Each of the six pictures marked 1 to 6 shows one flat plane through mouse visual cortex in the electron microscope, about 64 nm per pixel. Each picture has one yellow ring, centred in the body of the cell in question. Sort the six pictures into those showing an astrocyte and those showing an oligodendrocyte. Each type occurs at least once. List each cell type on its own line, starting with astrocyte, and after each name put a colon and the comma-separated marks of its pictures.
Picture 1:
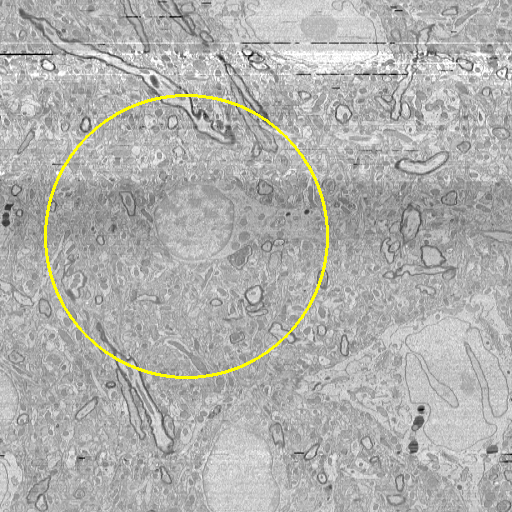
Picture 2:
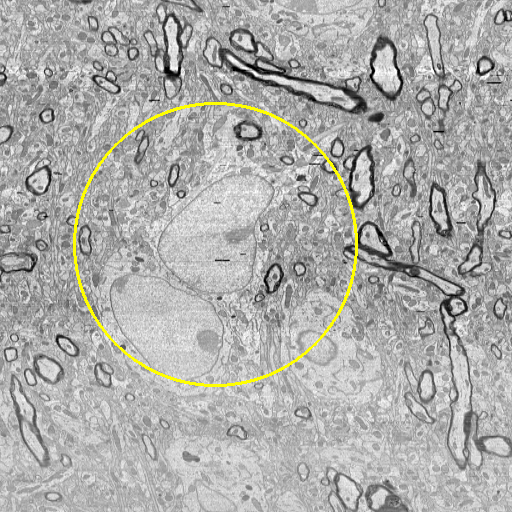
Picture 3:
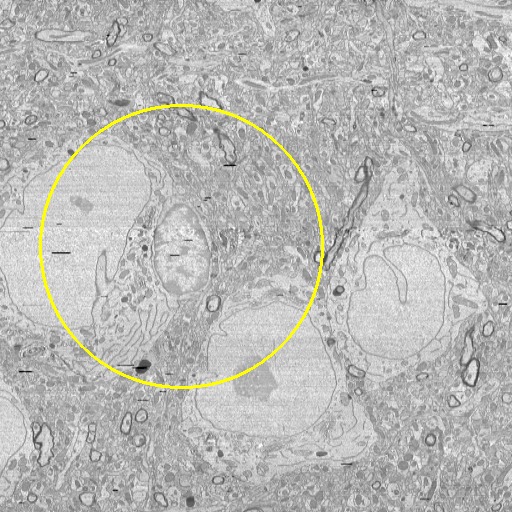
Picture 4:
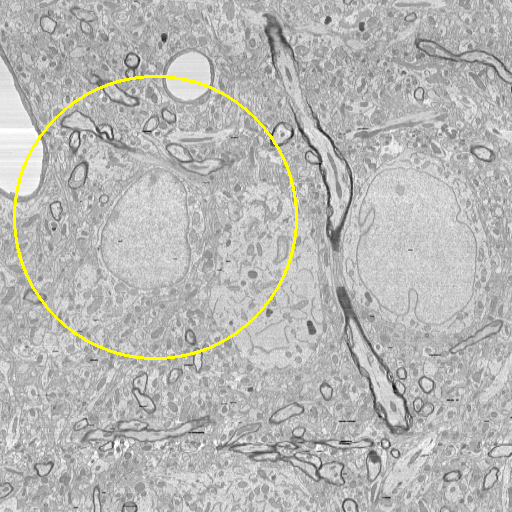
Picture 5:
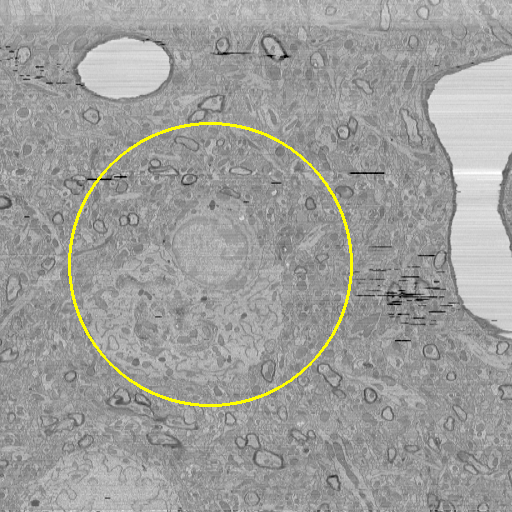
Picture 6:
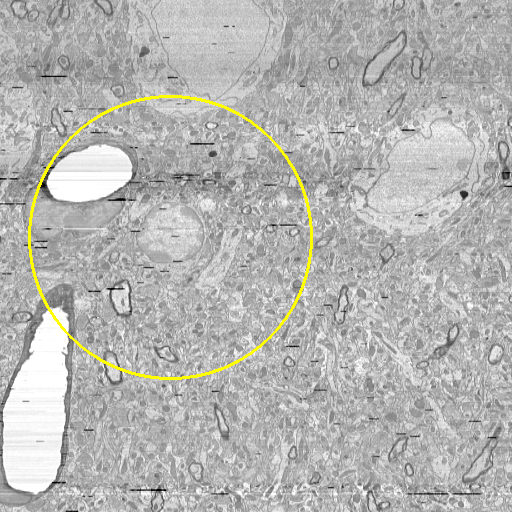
astrocyte: 2, 4
oligodendrocyte: 1, 3, 5, 6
